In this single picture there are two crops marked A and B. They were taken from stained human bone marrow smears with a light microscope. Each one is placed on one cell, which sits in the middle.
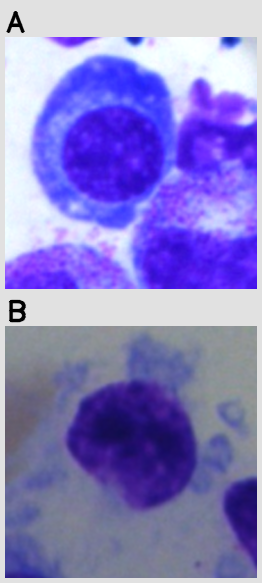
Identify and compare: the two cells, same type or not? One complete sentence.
No, crop A represents a plasma cell, and crop B represents a hairy cell.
